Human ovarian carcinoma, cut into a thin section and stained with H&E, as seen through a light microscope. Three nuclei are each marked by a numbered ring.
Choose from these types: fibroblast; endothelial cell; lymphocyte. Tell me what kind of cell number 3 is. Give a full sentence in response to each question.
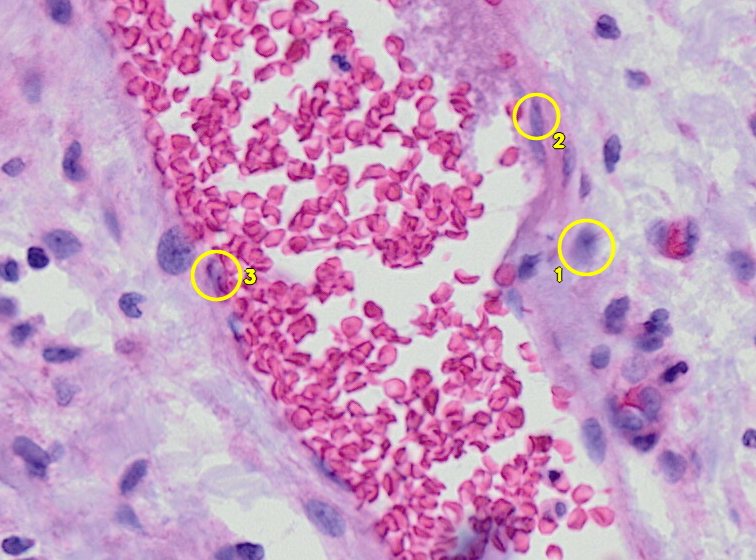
The cell to which the number 3 is assigned is an endothelial cell.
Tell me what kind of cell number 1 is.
The nucleus labelled 1 belongs to a fibroblast.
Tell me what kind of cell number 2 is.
Heads up, the cell numbered 2 is an endothelial cell.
